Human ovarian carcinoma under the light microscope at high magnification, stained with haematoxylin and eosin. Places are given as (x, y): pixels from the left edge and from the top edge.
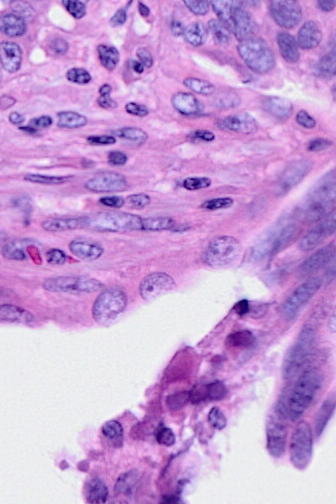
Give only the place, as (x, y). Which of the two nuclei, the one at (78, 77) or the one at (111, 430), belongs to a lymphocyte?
(78, 77)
